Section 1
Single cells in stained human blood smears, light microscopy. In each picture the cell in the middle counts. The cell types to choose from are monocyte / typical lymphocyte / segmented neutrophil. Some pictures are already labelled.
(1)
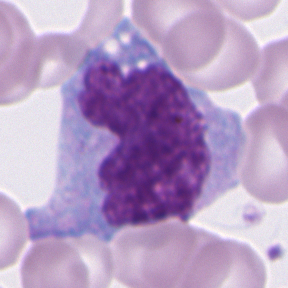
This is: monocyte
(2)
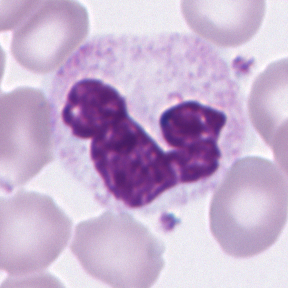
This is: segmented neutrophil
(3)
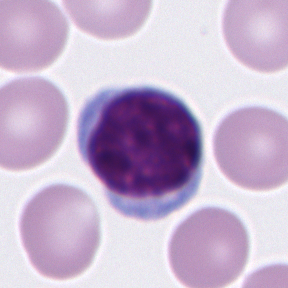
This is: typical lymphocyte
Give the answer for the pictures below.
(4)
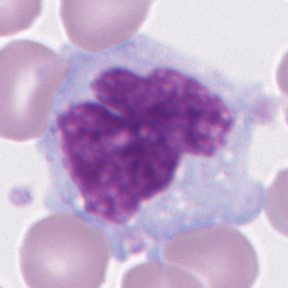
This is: monocyte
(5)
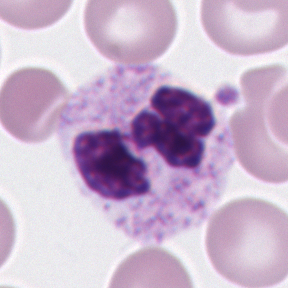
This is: segmented neutrophil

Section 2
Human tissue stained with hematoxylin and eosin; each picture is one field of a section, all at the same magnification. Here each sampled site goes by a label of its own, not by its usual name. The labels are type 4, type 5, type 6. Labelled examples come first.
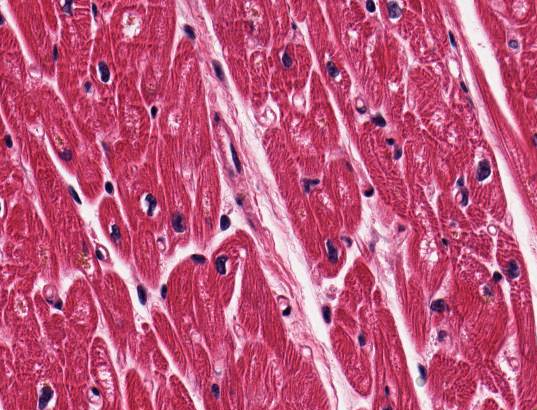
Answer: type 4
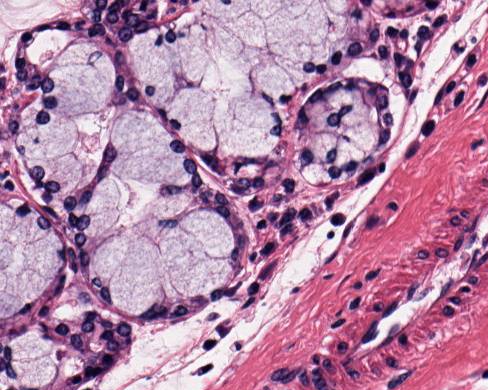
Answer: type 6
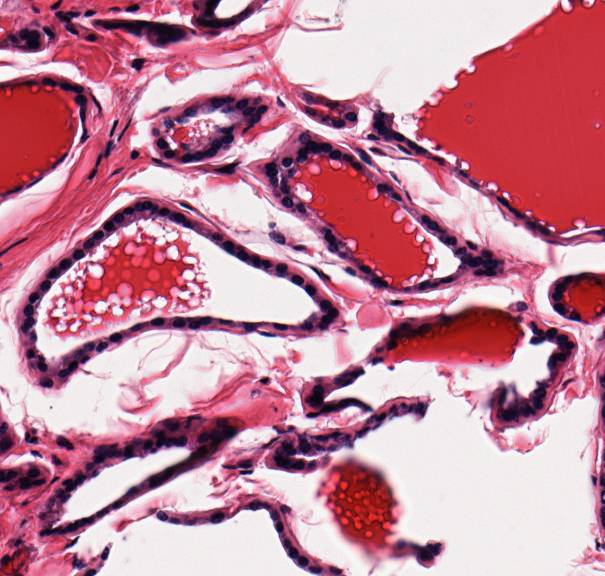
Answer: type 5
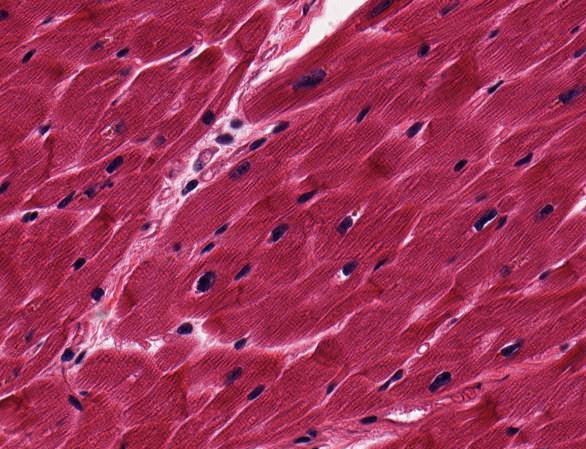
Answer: type 4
